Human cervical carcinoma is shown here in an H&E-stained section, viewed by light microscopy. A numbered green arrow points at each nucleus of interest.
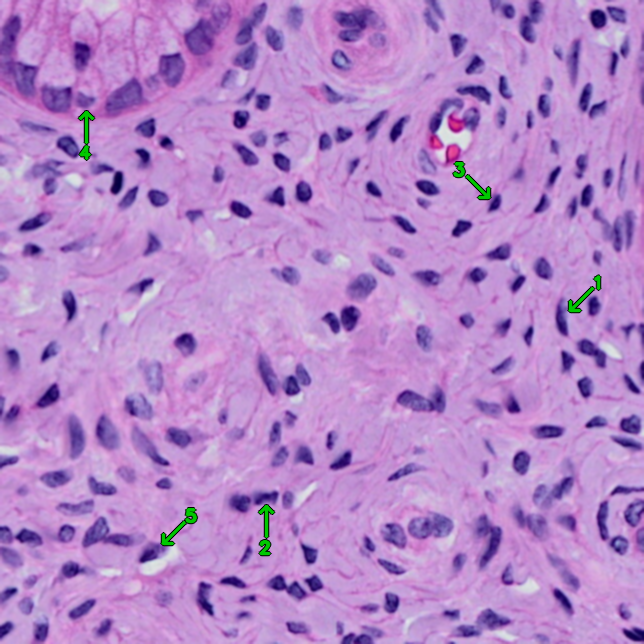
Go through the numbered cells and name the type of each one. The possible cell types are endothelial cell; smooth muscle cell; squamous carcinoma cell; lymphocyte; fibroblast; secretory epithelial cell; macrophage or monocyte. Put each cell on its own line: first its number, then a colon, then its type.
1: fibroblast
2: fibroblast
3: fibroblast
4: secretory epithelial cell
5: endothelial cell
